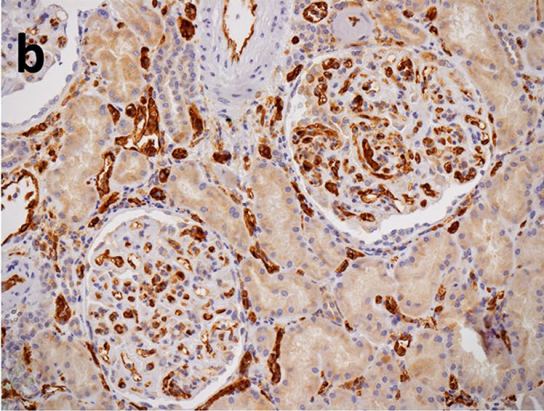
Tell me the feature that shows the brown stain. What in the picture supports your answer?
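Brown stain follows the loops of two round tufts. Brown stain lines narrow channels between tubules.
Conclusion: microcirculation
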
